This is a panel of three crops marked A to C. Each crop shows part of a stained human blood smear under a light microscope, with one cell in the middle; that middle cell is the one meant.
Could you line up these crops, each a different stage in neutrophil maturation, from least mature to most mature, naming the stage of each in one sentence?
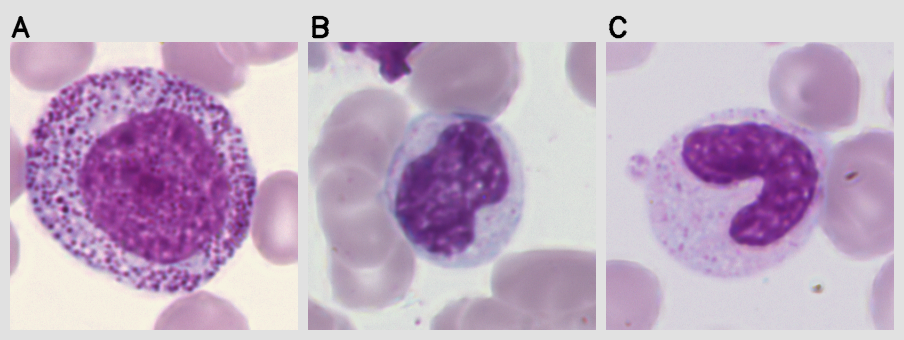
Sequenced by maturity, least first, the crops are crop A (a myelocyte), crop B (a metamyelocyte) and crop C (a band neutrophil).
